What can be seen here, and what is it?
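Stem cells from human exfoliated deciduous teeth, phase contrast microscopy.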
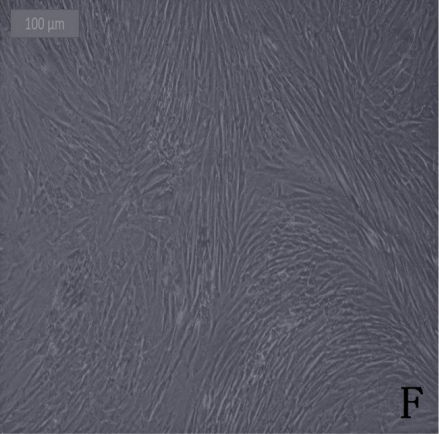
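Cultured cells cover the whole field as a dense, confluent layer. Nearly all are slender and spindle-shaped, lying closely side by side. They are aligned in parallel bundles that sweep across the field in curving, whorled streams. Individual cell borders are hard to follow where the cells overlap.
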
